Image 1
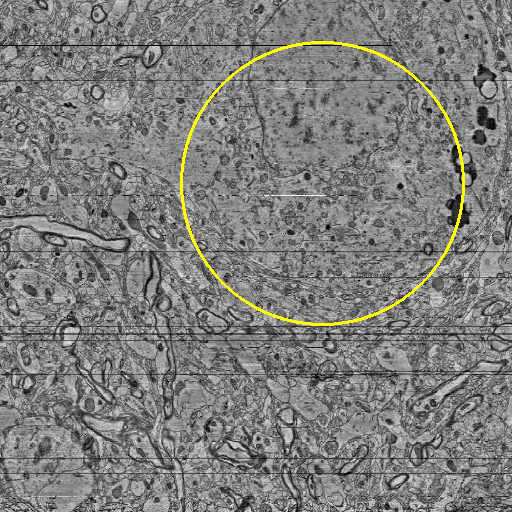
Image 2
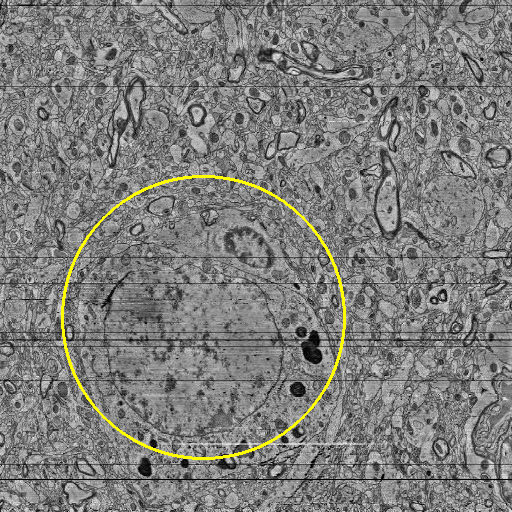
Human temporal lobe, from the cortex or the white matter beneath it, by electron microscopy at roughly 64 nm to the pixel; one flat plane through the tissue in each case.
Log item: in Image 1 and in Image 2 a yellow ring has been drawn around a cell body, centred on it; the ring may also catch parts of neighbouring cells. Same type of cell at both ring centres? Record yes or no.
yes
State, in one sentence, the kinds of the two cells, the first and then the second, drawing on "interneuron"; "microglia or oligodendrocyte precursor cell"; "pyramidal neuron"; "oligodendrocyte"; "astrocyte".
In both pictures the ring is centred on a pyramidal neuron.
